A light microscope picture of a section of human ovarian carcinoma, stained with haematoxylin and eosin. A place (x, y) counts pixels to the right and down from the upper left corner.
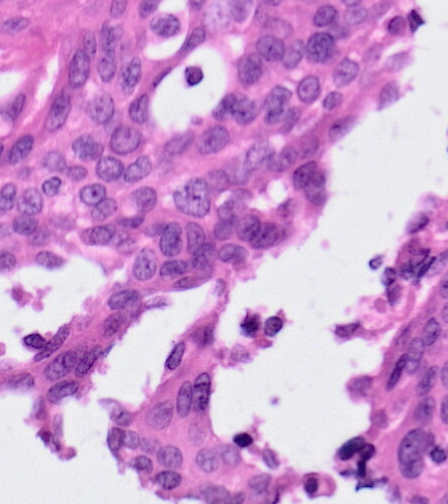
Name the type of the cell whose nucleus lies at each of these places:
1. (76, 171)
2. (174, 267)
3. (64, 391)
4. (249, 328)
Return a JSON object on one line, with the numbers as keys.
{"1": "carcinoma cell", "2": "carcinoma cell", "3": "carcinoma cell", "4": "macrophage or monocyte"}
